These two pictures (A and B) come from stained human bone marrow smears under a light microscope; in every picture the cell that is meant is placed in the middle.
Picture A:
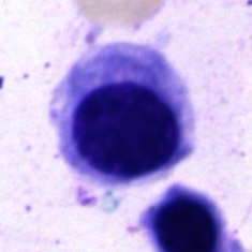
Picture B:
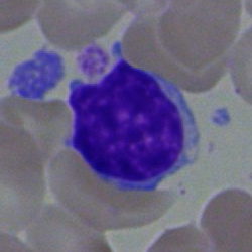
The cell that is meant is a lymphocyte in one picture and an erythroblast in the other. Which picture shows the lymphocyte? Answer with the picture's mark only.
B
